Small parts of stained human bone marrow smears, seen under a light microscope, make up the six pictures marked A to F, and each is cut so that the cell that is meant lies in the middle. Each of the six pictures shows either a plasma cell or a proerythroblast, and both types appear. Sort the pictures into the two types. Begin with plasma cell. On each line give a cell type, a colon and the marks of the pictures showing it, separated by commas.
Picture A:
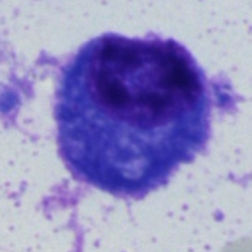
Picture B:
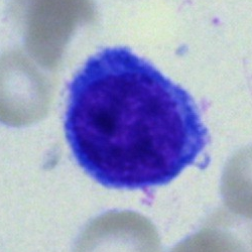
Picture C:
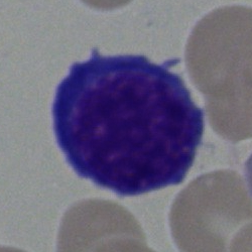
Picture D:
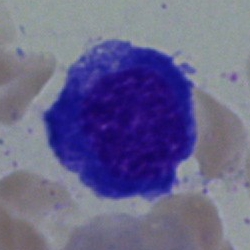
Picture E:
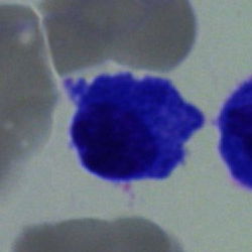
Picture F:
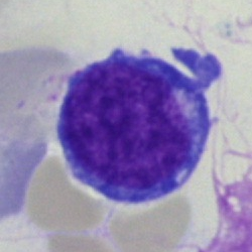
plasma cell: A, E
proerythroblast: B, C, D, F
